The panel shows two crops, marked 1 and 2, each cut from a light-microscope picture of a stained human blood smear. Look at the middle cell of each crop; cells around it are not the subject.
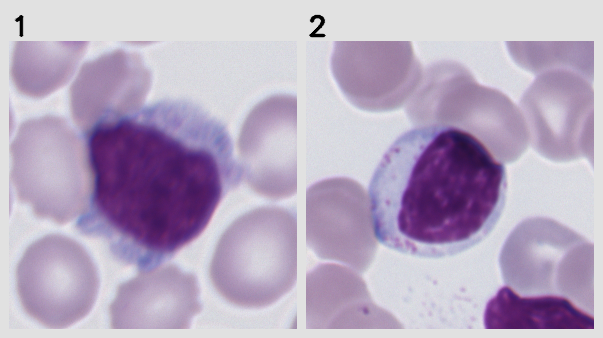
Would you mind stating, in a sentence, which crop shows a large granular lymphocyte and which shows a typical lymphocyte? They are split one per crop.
Displayed in crop 1 is a typical lymphocyte, while crop 2 displays a large granular lymphocyte.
